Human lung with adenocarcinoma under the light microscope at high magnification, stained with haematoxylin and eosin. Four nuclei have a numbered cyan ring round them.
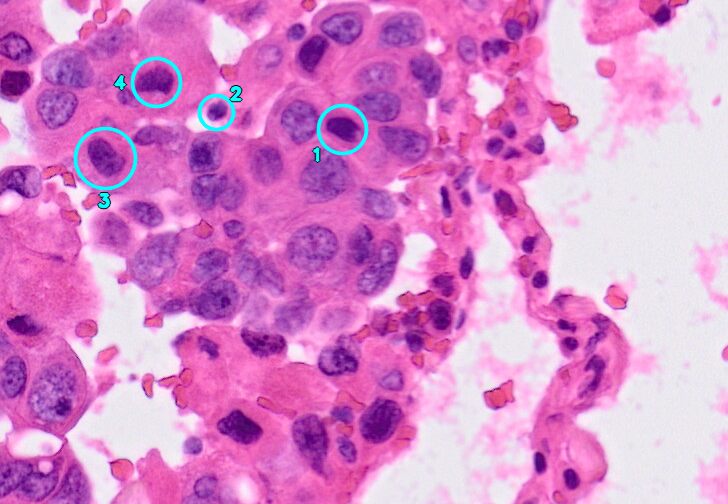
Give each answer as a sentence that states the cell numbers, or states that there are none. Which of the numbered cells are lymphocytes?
The cell bearing the number 2 is a lymphocyte, unlike the rest of the numbered cells.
